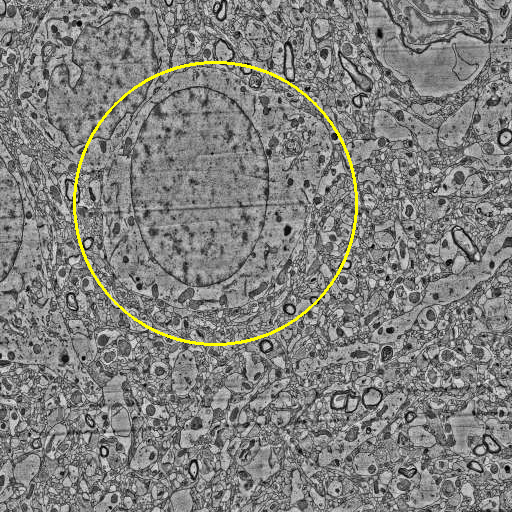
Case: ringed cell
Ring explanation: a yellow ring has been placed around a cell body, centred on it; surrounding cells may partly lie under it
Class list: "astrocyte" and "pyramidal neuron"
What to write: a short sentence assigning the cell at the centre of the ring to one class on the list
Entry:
The cell at the ring's centre is a pyramidal neuron.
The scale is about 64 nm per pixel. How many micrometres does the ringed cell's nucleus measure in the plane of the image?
The ringed cell's nucleus measures approximately 13 by 9 micrometres in this plane.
